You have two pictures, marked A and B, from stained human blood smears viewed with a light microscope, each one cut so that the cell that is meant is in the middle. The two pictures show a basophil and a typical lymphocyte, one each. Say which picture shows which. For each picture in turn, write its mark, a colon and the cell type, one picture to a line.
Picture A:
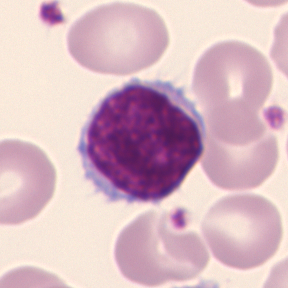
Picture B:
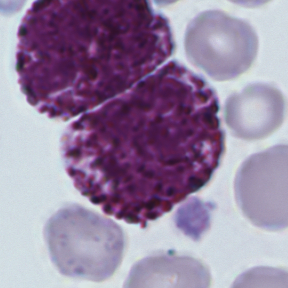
A: typical lymphocyte
B: basophil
